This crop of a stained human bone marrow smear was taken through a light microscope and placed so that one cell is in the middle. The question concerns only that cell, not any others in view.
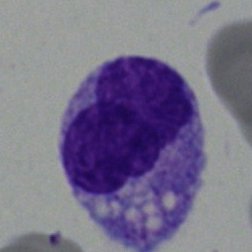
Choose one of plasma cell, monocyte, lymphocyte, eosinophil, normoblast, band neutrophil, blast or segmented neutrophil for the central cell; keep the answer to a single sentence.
Answering briefly, the cell in the middle is a monocyte.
